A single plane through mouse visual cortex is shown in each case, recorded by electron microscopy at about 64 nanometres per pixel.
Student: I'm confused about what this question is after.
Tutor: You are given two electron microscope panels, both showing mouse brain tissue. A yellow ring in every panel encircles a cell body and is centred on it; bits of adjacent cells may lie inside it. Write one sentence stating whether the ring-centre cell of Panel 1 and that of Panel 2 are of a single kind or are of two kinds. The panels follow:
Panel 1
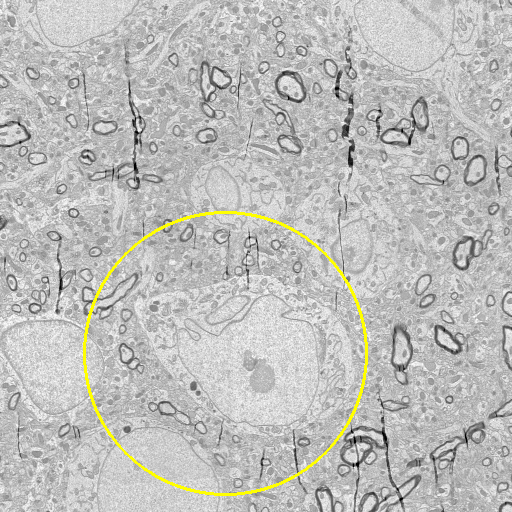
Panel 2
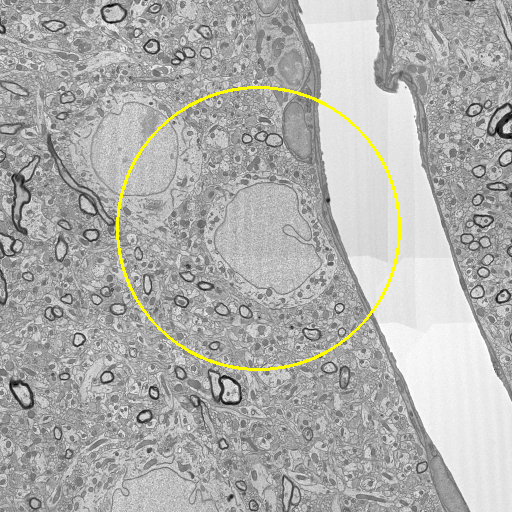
Here, the Panel 1 ring-centre cell and the Panel 2 ring-centre cell are of a single kind.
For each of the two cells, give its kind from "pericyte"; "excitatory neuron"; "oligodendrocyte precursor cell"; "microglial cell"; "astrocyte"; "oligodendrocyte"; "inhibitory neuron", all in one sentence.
The cell at the ring centre is an inhibitory neuron in both pictures.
